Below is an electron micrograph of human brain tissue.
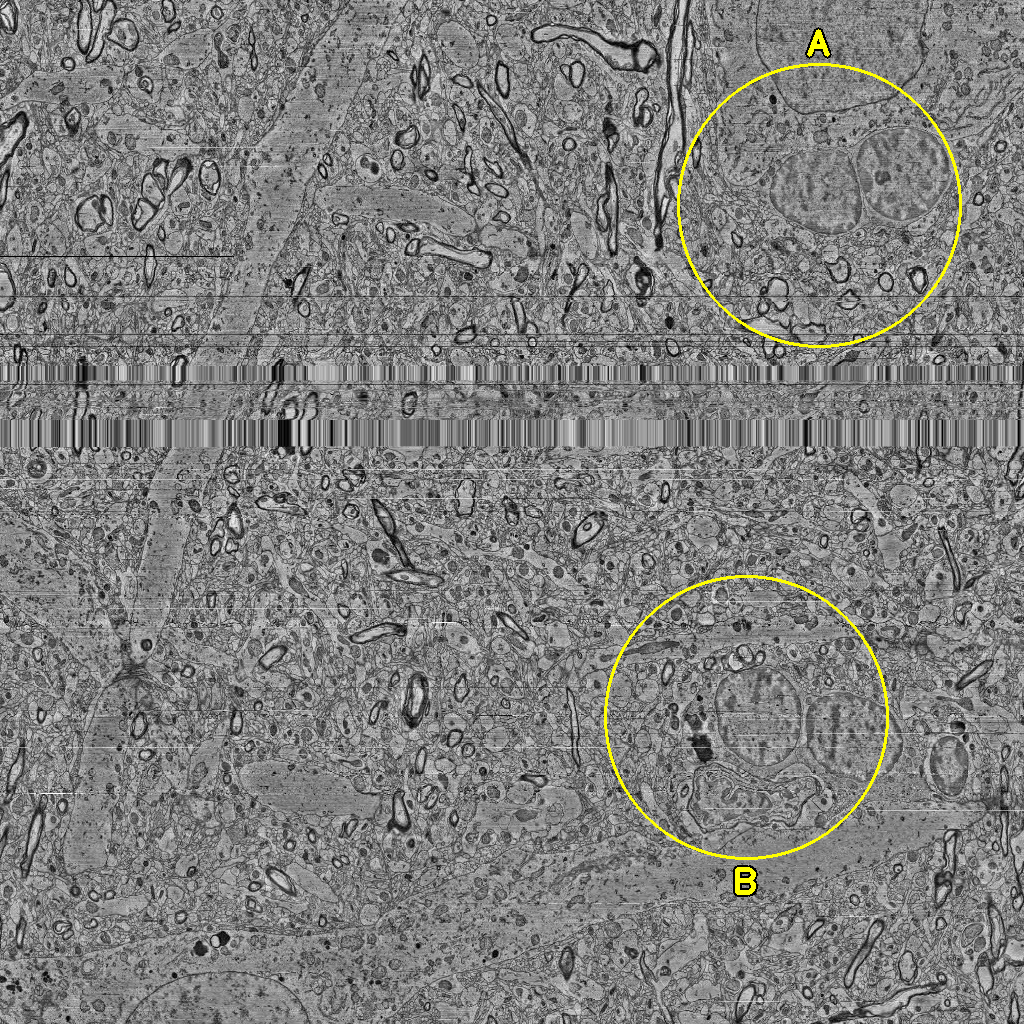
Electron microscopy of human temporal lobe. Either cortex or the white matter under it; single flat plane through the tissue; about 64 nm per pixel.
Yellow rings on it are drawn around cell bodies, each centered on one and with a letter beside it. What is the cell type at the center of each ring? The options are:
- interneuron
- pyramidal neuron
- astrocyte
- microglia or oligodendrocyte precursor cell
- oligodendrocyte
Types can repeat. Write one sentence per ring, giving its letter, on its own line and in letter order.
At the center of ring A is an oligodendrocyte.
At the center of ring B is an oligodendrocyte.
